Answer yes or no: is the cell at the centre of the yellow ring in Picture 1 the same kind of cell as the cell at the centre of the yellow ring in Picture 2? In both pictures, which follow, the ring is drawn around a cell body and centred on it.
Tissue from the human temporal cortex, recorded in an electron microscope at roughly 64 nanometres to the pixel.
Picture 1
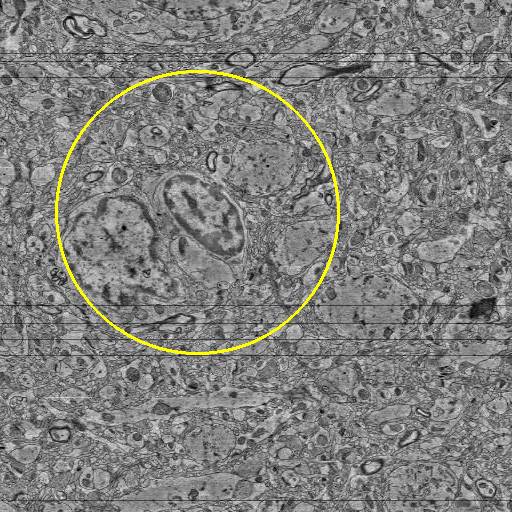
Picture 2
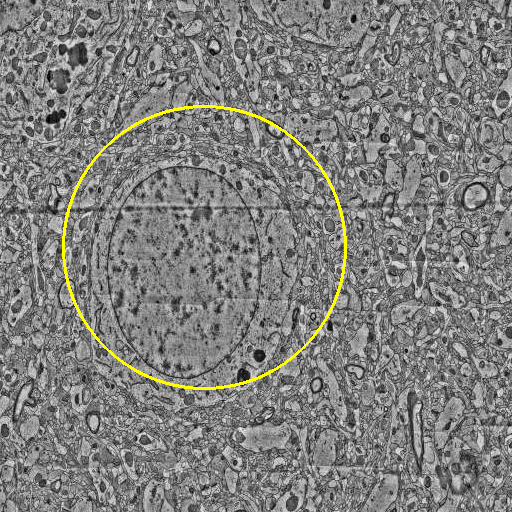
no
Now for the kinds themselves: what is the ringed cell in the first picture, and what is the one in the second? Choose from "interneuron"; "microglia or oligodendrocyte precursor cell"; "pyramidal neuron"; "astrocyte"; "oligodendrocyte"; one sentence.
Here the first cell is a microglial cell or oligodendrocyte precursor cell and the second cell is a pyramidal neuron.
